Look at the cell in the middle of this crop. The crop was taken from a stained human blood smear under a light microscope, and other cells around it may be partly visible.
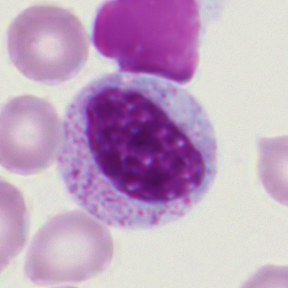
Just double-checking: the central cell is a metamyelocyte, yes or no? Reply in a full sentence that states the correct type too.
Yes, a metamyelocyte is what the central cell is.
